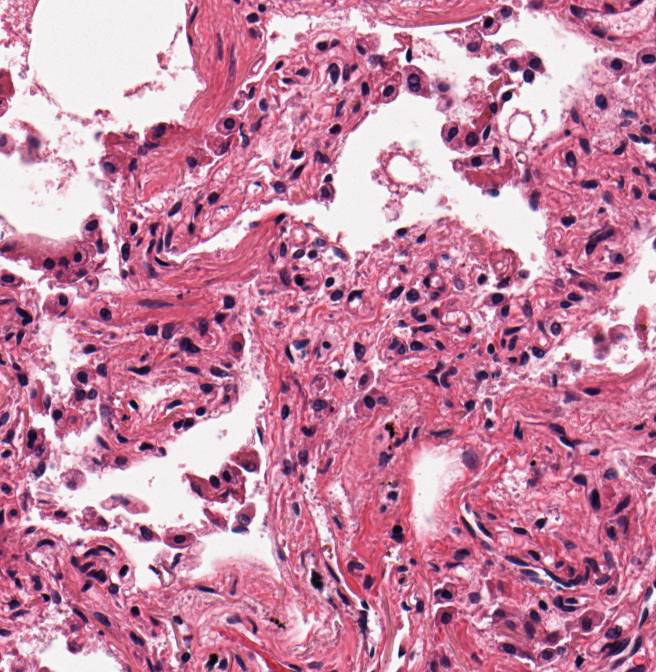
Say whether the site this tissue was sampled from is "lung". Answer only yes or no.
yes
